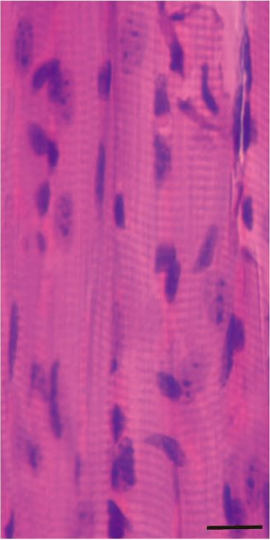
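Longitudinally cut skeletal muscle fibres run vertically as long pink bands with fine, regular cross-striations. Numerous dark purple nuclei are present, many oval to rounded rather than slender. These nuclei are crowded and scattered along and between the fibres rather than lying only in single file at the fibre edges.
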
